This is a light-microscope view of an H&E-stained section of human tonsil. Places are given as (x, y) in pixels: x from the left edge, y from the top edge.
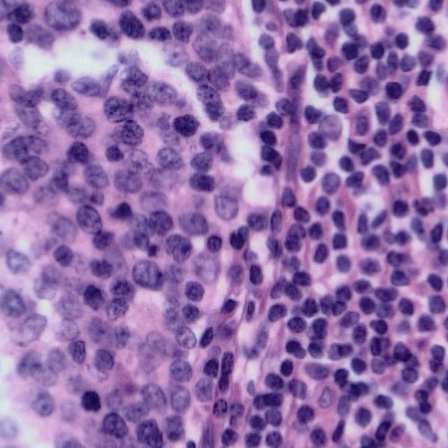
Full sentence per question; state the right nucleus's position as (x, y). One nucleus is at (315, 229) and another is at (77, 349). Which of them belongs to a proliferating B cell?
It is at (77, 349) that the nucleus of a proliferating B cell is found.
